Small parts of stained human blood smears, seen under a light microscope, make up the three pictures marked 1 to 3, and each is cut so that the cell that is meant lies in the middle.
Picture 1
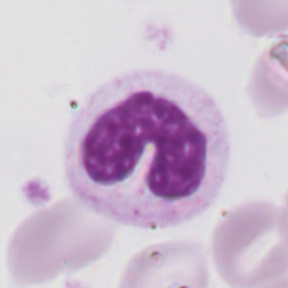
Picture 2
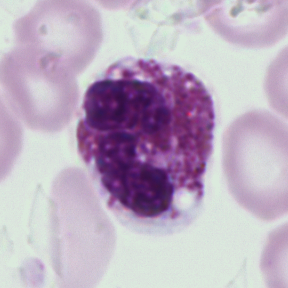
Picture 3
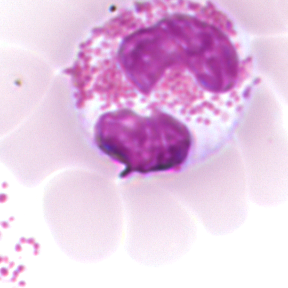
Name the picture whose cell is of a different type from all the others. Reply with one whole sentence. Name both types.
Picture 1 differs, because its cell is a band neutrophil and the rest are eosinophils.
